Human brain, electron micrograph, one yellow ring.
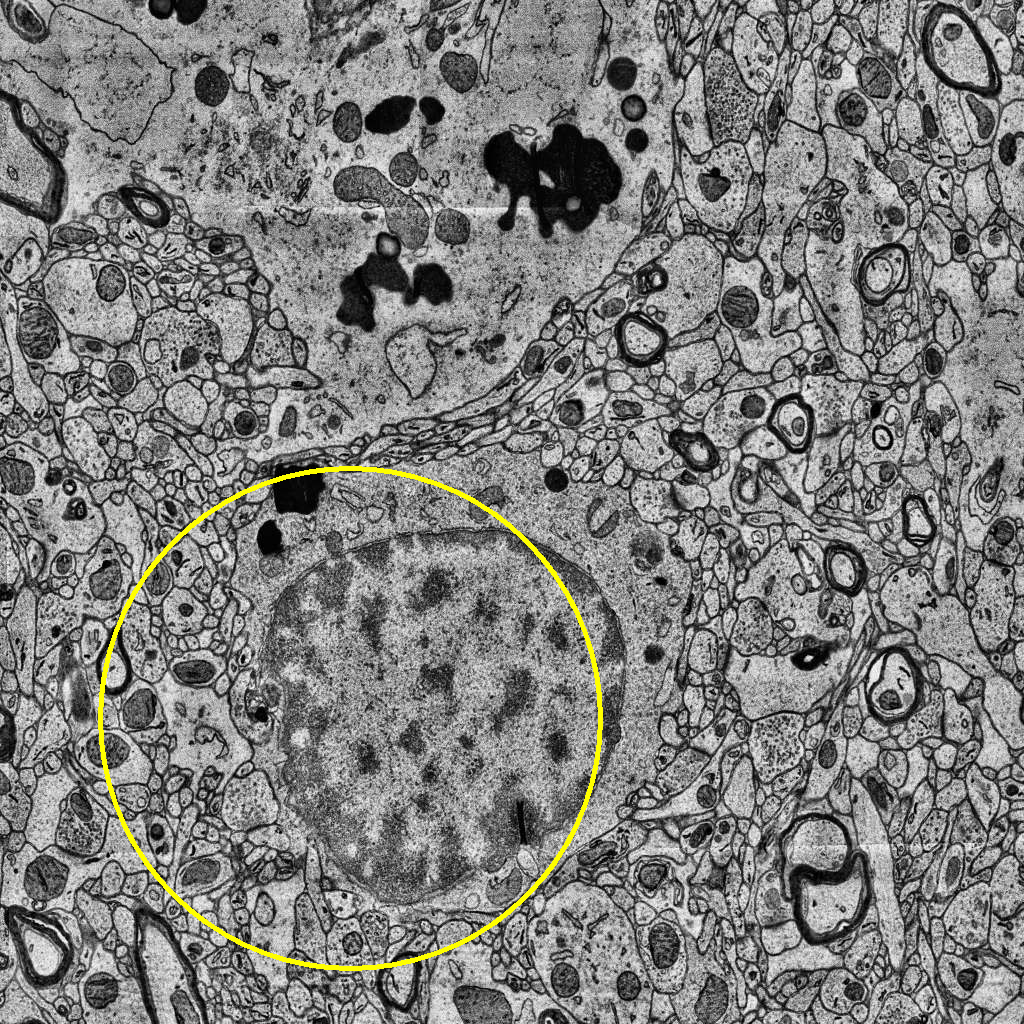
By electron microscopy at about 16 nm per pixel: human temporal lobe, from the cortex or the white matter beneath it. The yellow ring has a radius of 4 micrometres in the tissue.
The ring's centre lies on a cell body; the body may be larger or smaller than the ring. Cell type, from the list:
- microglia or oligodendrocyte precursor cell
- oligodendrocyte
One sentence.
The yellow ring's centre lies on an oligodendrocyte.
